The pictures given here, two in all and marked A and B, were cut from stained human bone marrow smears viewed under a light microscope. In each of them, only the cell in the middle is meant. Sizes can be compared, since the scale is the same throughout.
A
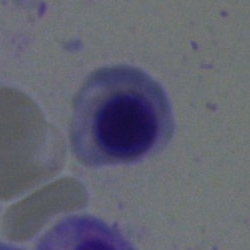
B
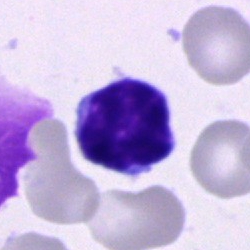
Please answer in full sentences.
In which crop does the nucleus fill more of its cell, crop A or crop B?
It is the cell in crop B that is filled more by its nucleus.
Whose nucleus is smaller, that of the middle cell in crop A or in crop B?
Crop A shows the smaller nucleus, since that in crop B covers about 2 times as much area.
